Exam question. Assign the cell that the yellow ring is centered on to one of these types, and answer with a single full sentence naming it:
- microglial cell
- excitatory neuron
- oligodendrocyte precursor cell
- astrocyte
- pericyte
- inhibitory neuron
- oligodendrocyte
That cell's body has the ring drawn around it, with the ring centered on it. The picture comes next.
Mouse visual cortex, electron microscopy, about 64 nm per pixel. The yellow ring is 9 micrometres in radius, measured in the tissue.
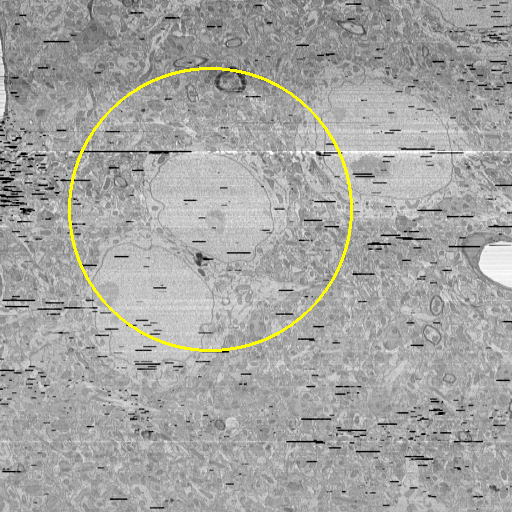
In the micrograph, the cell the yellow ring is centered on is an excitatory neuron.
